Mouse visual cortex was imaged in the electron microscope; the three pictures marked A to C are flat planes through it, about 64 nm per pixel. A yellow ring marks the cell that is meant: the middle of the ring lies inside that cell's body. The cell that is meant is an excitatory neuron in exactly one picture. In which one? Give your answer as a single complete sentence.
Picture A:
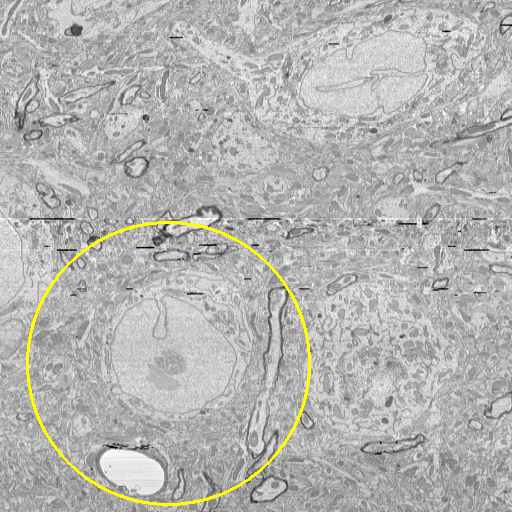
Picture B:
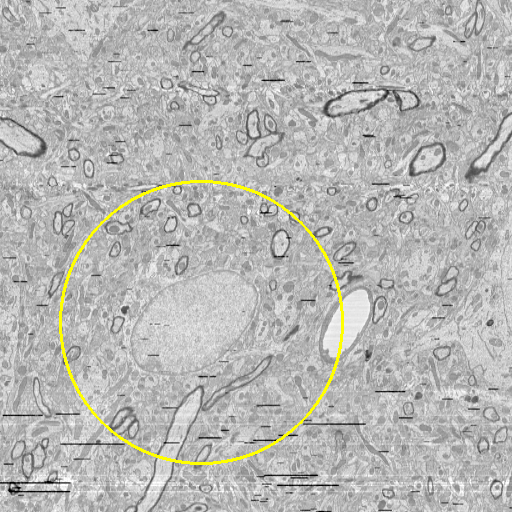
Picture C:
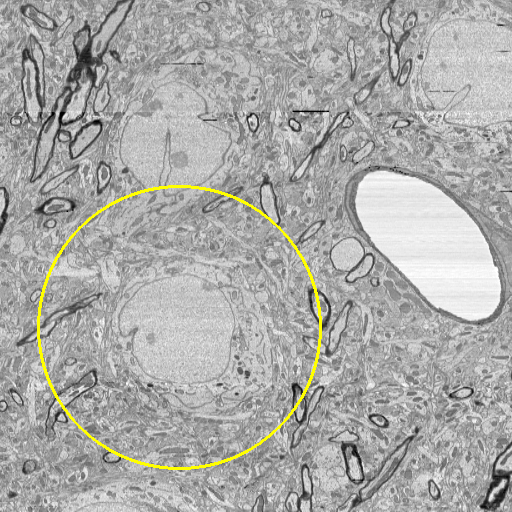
It is picture C that shows the excitatory neuron.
